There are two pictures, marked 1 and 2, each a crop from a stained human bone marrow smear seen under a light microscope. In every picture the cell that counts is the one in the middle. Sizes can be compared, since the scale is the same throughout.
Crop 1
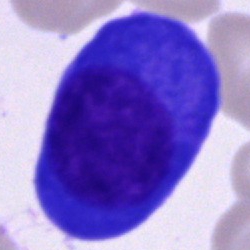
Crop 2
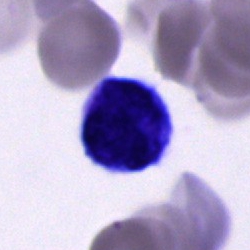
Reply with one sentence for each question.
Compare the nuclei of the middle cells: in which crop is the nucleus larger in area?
Larger is the nucleus in crop 1, at roughly 2.5 times the area of the other.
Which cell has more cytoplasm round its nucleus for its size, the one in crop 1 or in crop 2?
In crop 1 the nucleus takes up the smaller part of its cell.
